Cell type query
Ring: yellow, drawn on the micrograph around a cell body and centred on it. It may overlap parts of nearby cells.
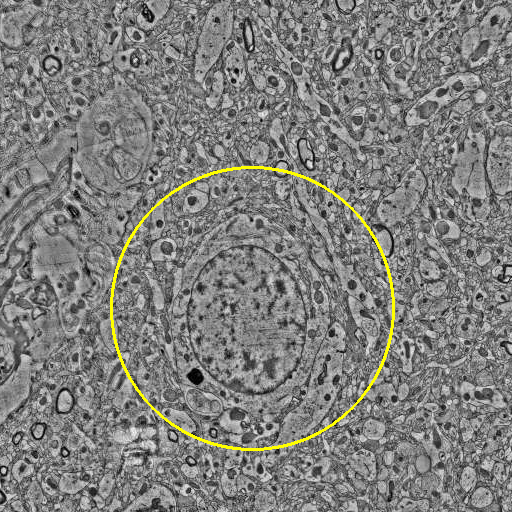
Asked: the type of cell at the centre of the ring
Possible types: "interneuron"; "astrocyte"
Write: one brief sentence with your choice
The ring marks an interneuron.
